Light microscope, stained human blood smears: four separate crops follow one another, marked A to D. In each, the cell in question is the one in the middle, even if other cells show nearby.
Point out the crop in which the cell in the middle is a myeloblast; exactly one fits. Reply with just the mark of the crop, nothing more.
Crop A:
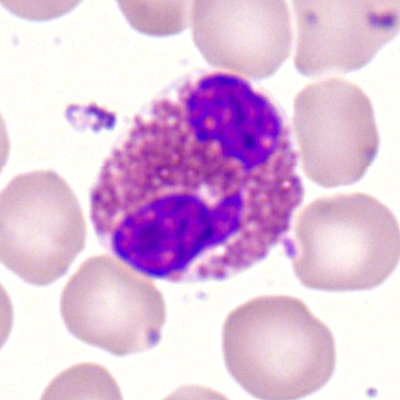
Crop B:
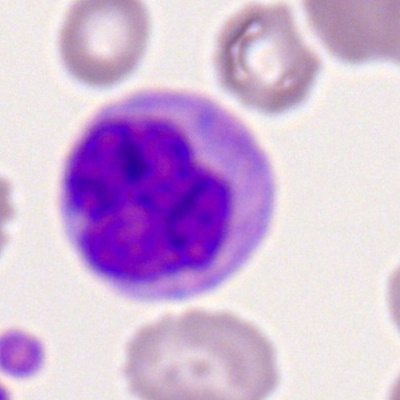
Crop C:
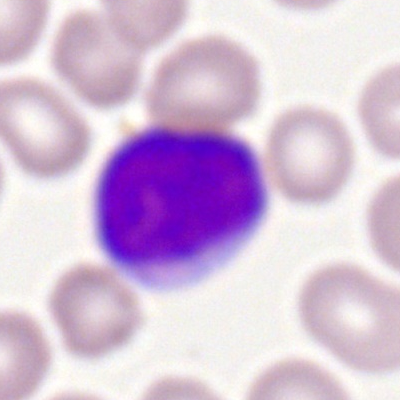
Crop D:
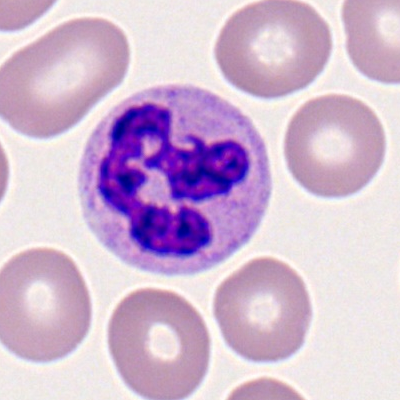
C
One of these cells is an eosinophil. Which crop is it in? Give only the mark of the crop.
A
